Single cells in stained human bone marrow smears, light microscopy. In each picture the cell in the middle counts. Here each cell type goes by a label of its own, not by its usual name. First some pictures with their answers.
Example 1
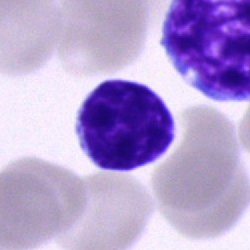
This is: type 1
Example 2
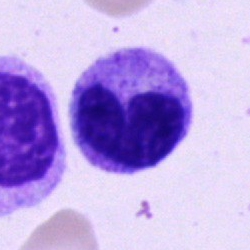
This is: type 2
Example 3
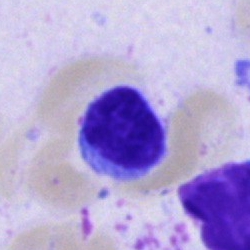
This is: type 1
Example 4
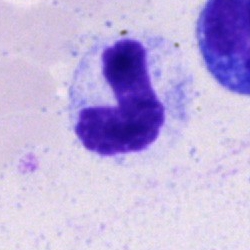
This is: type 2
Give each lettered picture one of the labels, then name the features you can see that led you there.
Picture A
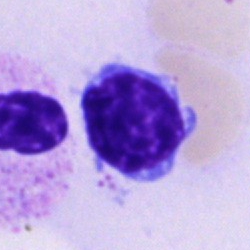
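type 1. Reason: The cytoplasm forms only a thin rim around the nucleus.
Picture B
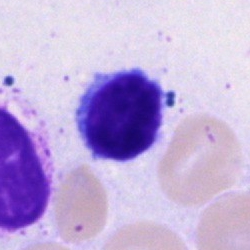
type 1. Reason: The nucleus fills almost the whole cell.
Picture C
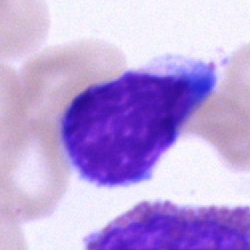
type 1. Reason: The nucleus fills almost the whole cell.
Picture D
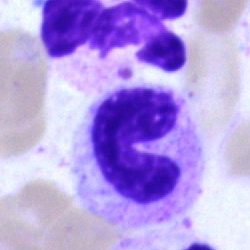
type 2. Reason: The nucleus is curved into a C shape with its opening facing right.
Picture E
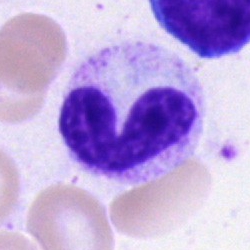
type 2. Reason: The nucleus is bent into a U shape with its notch opening upward.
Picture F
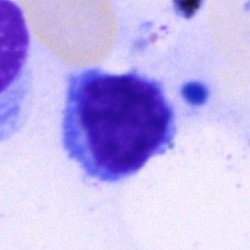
type 1. Reason: The nucleus fills most of the cell and sits toward the upper right.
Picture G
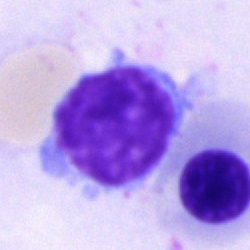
type 1. Reason: The cytoplasm forms only a thin, scant rim around the nucleus.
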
